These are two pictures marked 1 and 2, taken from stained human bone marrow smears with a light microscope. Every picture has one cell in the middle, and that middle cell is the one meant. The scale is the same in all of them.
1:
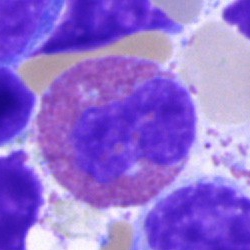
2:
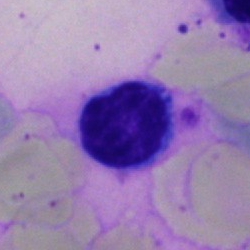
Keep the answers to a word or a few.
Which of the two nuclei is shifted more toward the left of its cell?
2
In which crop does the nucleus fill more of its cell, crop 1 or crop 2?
2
